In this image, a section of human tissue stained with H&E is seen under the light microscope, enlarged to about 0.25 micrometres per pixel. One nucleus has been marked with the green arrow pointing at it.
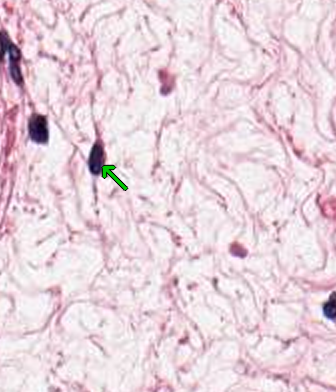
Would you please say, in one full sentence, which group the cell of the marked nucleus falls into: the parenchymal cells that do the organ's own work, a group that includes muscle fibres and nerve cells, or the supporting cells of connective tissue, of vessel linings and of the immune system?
Located within a supporting cell is the nucleus that has been marked.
